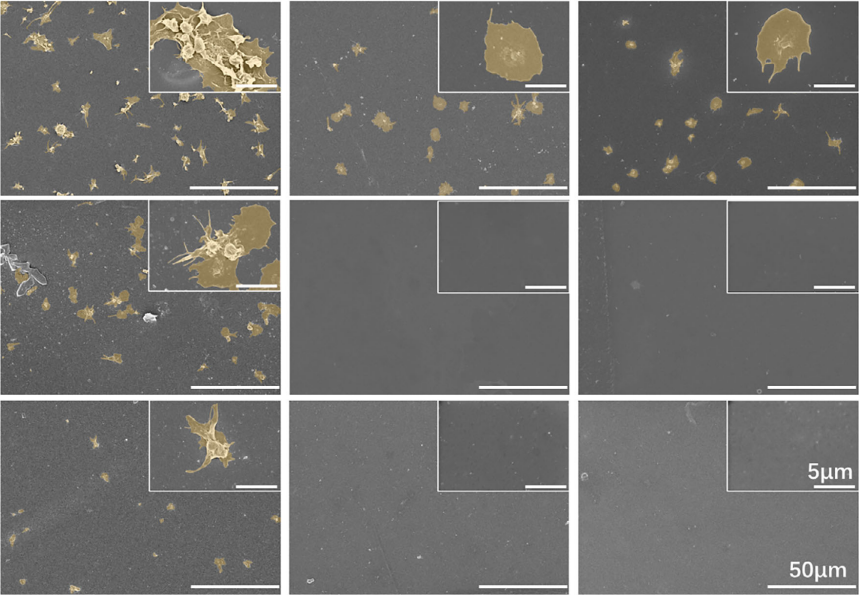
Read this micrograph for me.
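A grid of scanning electron micrographs shows smooth grey surfaces bearing scattered platelets, coloured yellow, in some fields and none in others. Where present, the platelets sit singly or in small clusters; some carry many slender spiky extensions while others are spread flat into rounded discs with short projections at the edge. Several fields show a bare, featureless surface without any adherent cells.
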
